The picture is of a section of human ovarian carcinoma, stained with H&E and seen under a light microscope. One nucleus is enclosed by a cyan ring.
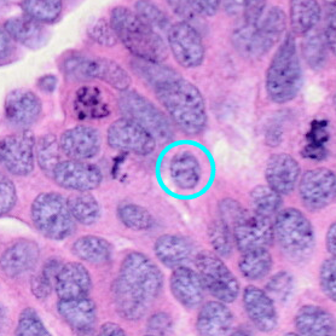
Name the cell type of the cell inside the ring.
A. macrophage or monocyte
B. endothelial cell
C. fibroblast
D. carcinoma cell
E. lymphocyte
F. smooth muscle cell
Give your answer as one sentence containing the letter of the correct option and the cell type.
Here the cell inside the ring is a macrophage or monocyte; pick option A.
